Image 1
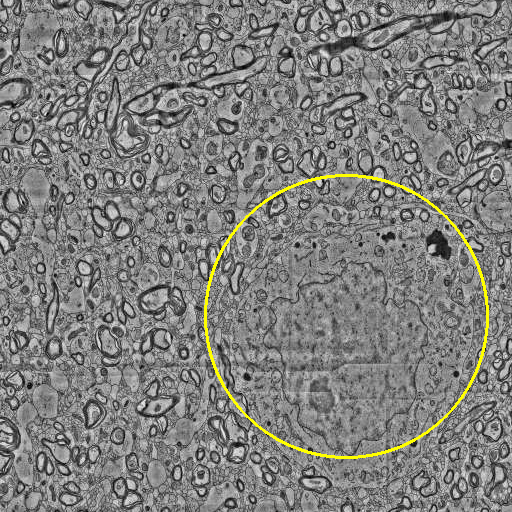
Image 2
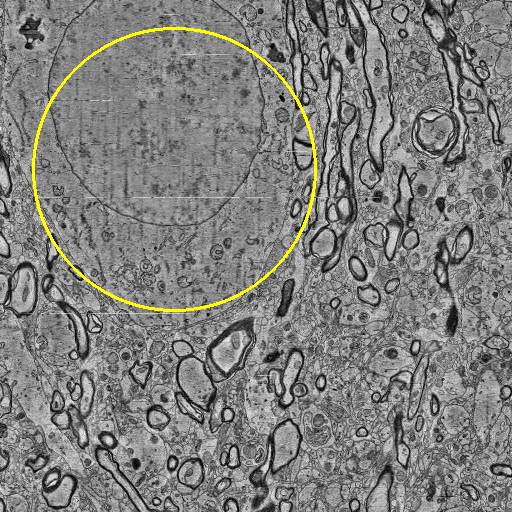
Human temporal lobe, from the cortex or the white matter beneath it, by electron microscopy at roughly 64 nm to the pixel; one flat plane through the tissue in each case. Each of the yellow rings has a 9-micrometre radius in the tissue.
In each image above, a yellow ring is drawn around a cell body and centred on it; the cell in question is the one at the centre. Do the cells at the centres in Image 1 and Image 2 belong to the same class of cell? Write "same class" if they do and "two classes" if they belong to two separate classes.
same class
